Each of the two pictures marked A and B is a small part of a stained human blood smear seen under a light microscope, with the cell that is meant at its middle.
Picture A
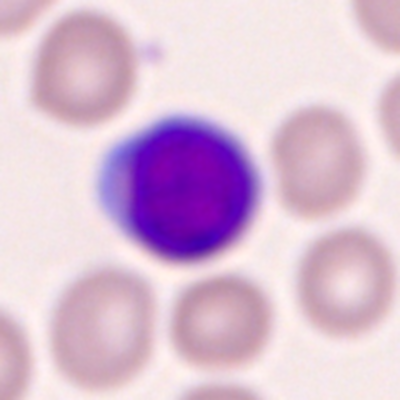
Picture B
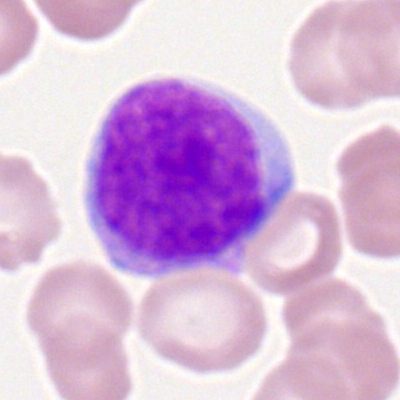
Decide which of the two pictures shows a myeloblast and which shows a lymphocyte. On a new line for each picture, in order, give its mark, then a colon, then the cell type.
A: lymphocyte
B: myeloblast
